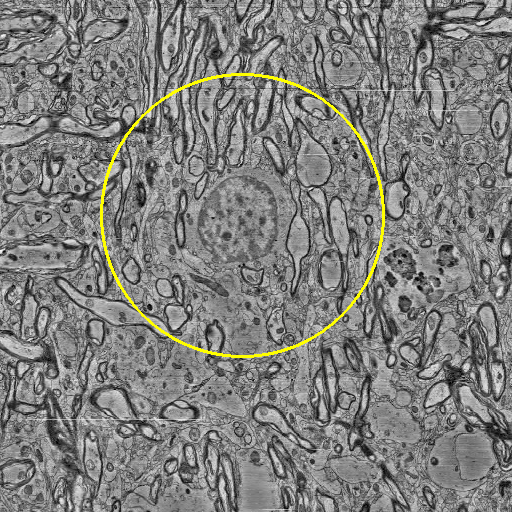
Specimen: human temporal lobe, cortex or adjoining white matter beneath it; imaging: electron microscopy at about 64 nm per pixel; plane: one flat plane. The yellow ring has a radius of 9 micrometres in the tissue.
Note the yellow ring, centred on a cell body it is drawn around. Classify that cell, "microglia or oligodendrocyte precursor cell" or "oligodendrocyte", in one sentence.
The cell the ring is centred on is an oligodendrocyte.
